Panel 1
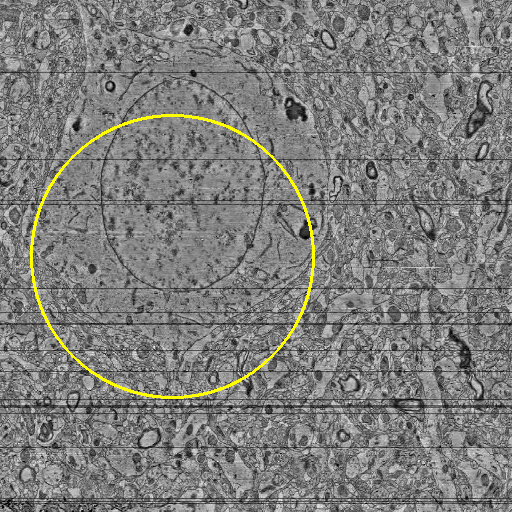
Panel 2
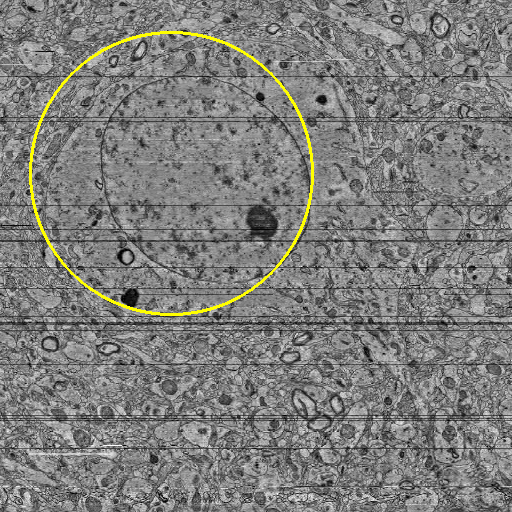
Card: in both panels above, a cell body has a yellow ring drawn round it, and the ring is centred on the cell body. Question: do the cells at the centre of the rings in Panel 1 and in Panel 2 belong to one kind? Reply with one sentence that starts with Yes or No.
Yes, the cells centred in the rings of Panel 1 and Panel 2 are one kind of cell.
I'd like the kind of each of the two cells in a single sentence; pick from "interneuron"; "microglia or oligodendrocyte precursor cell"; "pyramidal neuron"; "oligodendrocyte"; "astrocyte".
The cell at the ring centre is a pyramidal neuron in both pictures.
